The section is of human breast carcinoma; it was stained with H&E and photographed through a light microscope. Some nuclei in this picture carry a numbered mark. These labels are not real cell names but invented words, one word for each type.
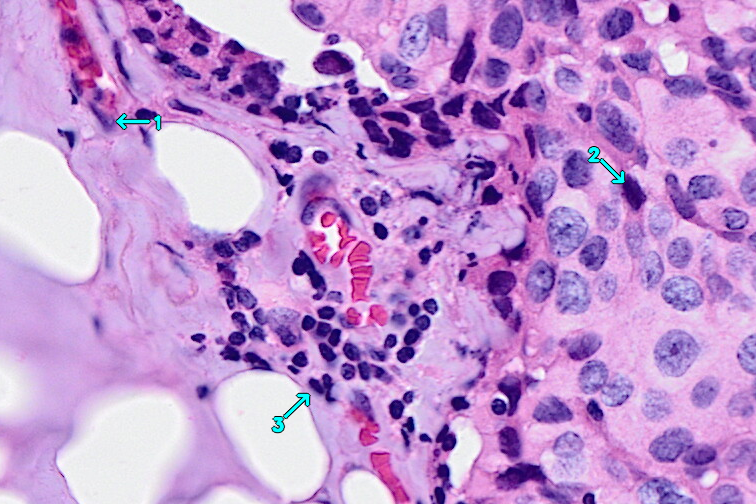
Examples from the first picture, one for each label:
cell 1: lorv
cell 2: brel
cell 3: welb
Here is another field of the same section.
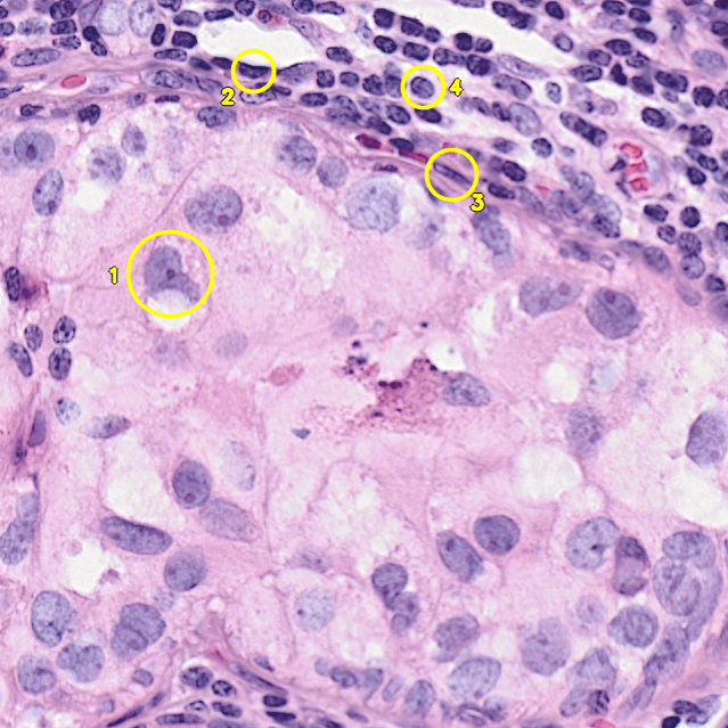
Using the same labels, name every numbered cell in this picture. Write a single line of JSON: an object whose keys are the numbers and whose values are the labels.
{"1": "brel", "2": "welb", "3": "lorv", "4": "welb"}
